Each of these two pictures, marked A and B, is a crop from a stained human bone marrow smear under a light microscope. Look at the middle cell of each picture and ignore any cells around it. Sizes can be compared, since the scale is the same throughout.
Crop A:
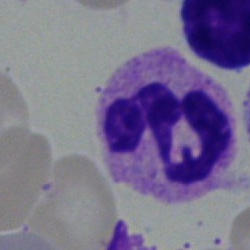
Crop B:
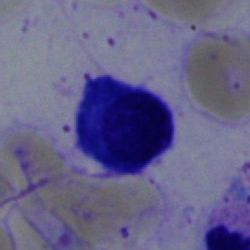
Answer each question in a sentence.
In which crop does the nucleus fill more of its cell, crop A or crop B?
Of the two, the nucleus in crop B makes up the greater part of its cell.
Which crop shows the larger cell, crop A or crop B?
Crop A holds the larger cell; it covers about 2 times the area of the cell in crop B.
